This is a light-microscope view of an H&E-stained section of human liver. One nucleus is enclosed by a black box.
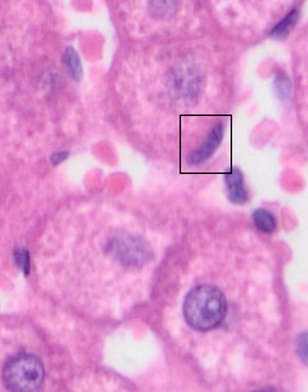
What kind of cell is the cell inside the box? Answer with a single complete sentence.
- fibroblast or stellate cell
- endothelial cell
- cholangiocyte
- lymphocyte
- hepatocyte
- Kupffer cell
Just put down that the cell inside the box is a fibroblast or stellate cell.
